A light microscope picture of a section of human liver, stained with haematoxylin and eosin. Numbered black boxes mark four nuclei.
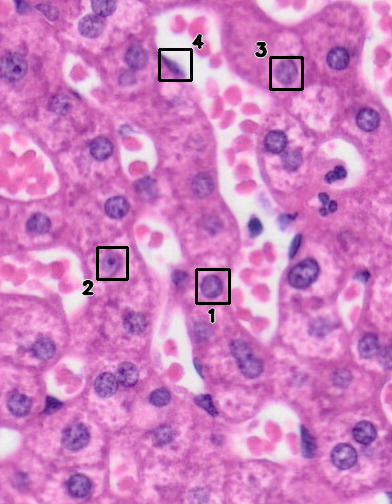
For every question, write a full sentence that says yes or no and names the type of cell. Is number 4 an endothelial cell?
Yes, with respect to number 4, the cell is an endothelial cell.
